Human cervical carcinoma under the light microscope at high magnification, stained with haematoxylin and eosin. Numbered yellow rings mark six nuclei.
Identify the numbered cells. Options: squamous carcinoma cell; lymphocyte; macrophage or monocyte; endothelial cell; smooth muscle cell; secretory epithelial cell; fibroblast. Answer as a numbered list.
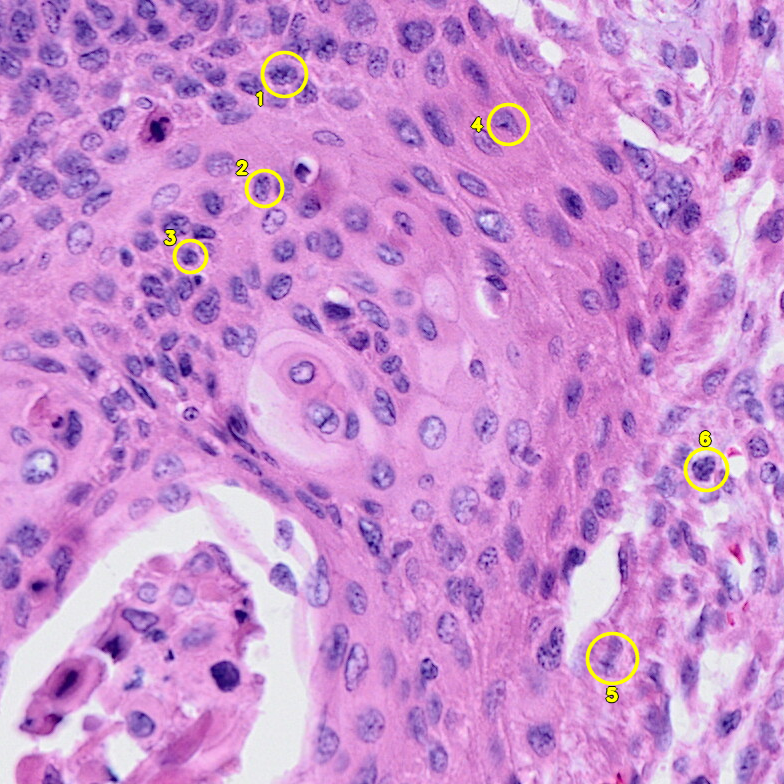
1. squamous carcinoma cell
2. squamous carcinoma cell
3. squamous carcinoma cell
4. squamous carcinoma cell
5. fibroblast
6. lymphocyte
